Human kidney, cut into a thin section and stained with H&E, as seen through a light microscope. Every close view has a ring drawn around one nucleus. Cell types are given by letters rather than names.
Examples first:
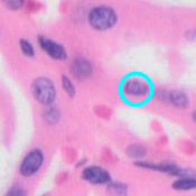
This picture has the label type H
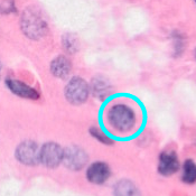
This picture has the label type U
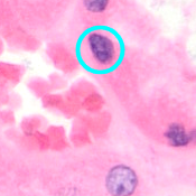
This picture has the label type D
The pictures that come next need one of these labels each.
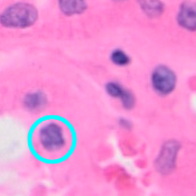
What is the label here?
type U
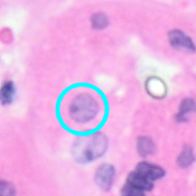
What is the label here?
type D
